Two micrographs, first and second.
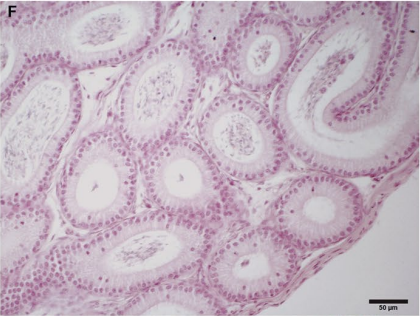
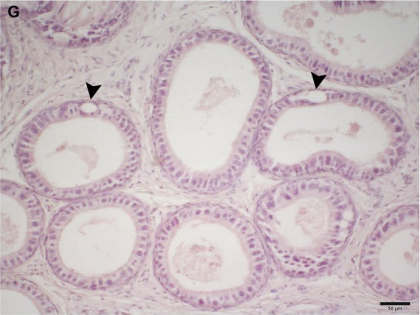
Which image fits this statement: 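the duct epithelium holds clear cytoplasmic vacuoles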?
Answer: the second image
